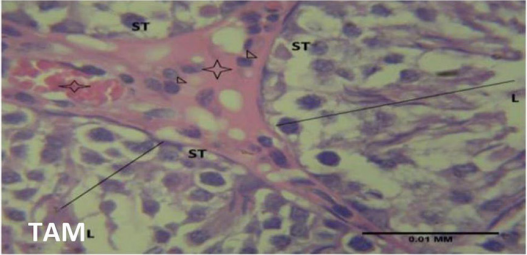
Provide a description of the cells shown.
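Between seminiferous tubules lies a broad pink interstitium. At its left is a space packed with bright red blood cells, a congested blood vessel. Scattered through the pink tissue are small clear vacuole-like spaces and a few cells with round dark nuclei and pink cytoplasm, the interstitial cells of Leydig, which look ordinary. The crowded red cells filling the vessel stand out against the pink interstitial tissue around it.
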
